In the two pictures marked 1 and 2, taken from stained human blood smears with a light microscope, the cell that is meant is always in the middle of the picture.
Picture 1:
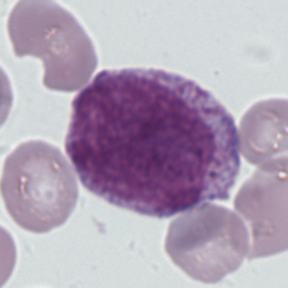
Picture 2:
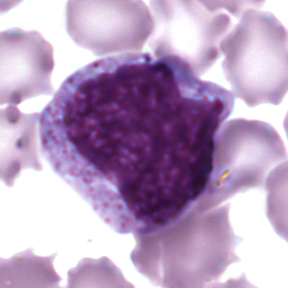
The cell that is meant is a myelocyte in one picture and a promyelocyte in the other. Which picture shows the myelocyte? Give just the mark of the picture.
2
